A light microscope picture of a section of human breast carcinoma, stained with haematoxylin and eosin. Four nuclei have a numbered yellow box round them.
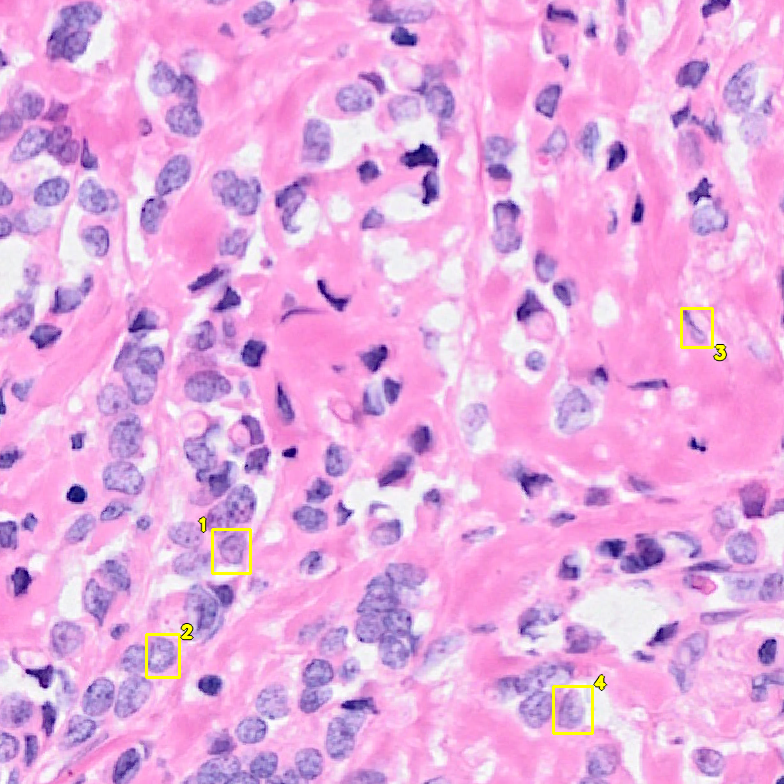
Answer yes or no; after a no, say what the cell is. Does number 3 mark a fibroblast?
Yes.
